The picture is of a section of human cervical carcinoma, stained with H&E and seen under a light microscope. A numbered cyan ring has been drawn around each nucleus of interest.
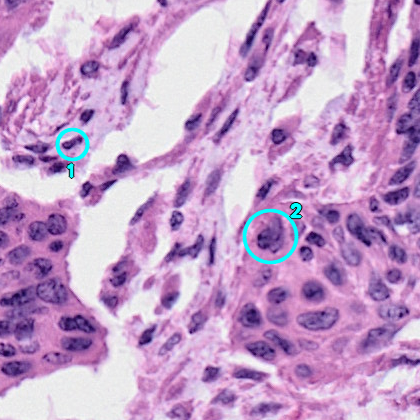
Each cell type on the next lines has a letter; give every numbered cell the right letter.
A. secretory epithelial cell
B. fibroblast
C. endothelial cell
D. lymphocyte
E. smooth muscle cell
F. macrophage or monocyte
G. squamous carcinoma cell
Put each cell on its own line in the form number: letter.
1: B
2: G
